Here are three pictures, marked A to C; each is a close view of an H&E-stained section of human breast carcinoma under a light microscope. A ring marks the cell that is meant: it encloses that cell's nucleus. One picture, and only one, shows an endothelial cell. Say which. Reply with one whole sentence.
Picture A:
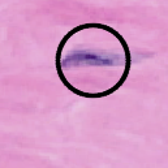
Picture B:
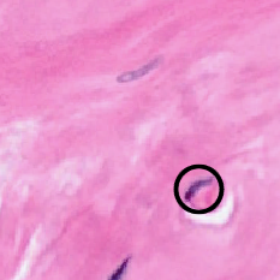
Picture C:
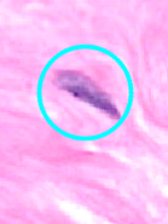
Picture B shows the endothelial cell.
